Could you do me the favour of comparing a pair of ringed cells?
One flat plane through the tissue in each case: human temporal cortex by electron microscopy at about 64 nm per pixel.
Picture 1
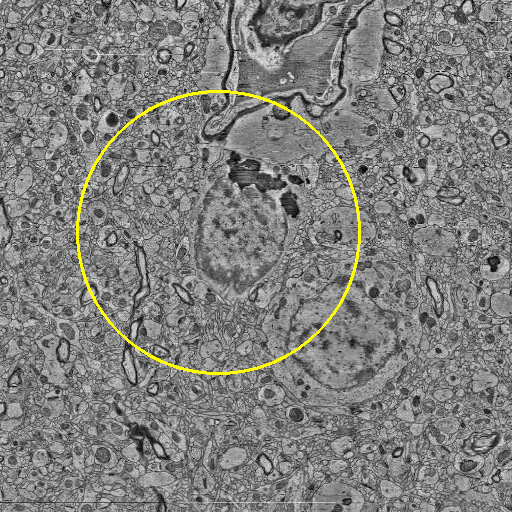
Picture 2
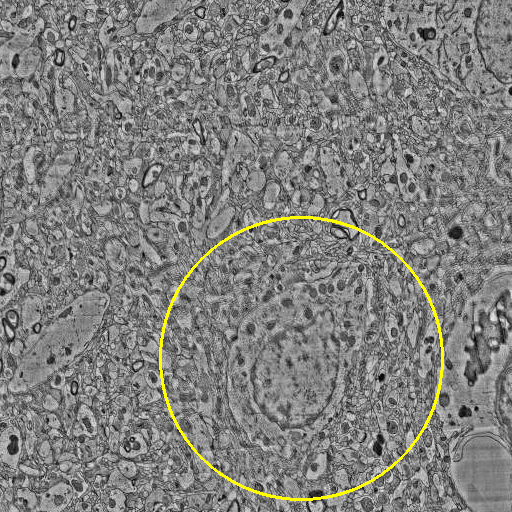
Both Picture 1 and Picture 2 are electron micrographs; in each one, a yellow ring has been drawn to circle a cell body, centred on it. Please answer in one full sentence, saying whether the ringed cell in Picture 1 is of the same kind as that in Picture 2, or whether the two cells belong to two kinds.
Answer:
The ringed cells in Picture 1 and Picture 2 belong to two kinds.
